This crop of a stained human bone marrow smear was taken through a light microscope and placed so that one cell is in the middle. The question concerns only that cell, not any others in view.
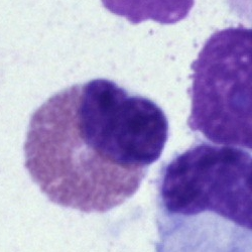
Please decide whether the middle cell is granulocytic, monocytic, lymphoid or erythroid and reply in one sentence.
The granulocytic lineage is the lineage of the cell in the middle.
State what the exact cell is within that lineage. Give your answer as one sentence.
The cell under consideration, at the middle of the crop, is an eosinophil.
